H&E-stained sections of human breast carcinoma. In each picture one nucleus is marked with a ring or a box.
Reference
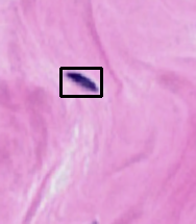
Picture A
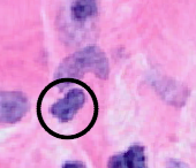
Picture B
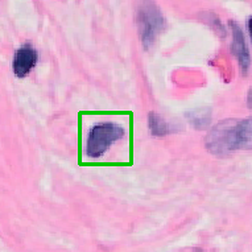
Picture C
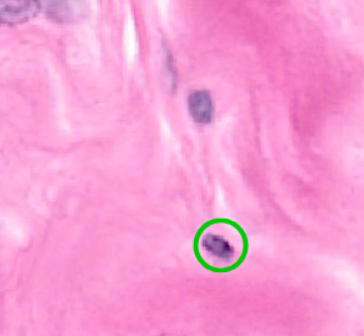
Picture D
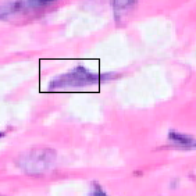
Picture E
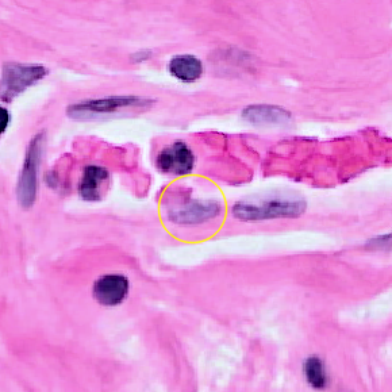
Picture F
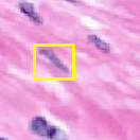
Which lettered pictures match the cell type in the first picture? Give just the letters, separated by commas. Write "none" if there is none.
D, F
